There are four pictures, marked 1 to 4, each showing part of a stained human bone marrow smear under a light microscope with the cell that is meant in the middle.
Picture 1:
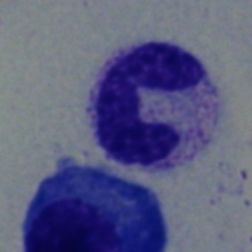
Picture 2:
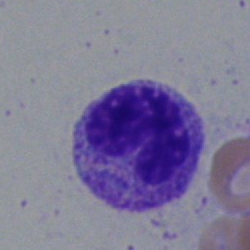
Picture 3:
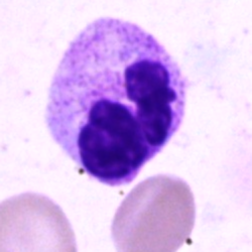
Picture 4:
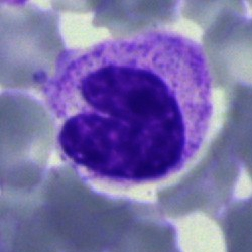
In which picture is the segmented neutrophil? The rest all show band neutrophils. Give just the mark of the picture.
3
